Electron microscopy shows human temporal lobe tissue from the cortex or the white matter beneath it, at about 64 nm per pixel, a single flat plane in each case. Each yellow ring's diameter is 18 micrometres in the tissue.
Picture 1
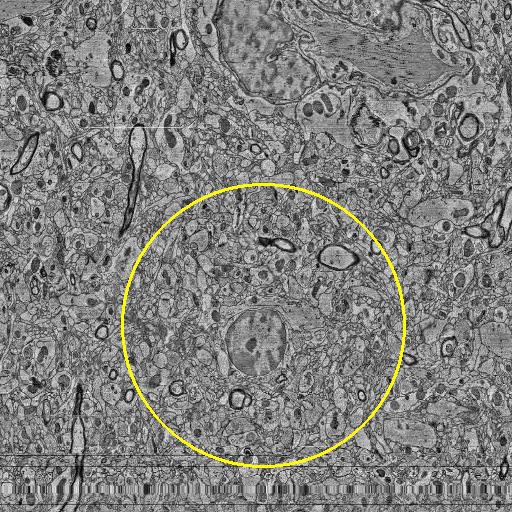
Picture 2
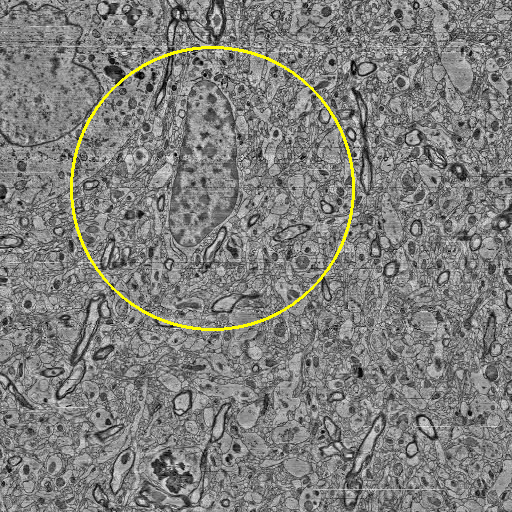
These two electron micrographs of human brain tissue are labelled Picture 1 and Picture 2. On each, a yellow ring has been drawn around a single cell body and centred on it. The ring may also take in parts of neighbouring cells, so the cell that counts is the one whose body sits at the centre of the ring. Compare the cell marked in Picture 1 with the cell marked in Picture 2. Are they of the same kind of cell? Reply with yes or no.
yes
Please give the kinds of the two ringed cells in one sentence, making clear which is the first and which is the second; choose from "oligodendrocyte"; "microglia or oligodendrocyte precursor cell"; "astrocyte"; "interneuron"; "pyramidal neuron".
Both the first and the second picture show a microglial cell or oligodendrocyte precursor cell in the ring.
